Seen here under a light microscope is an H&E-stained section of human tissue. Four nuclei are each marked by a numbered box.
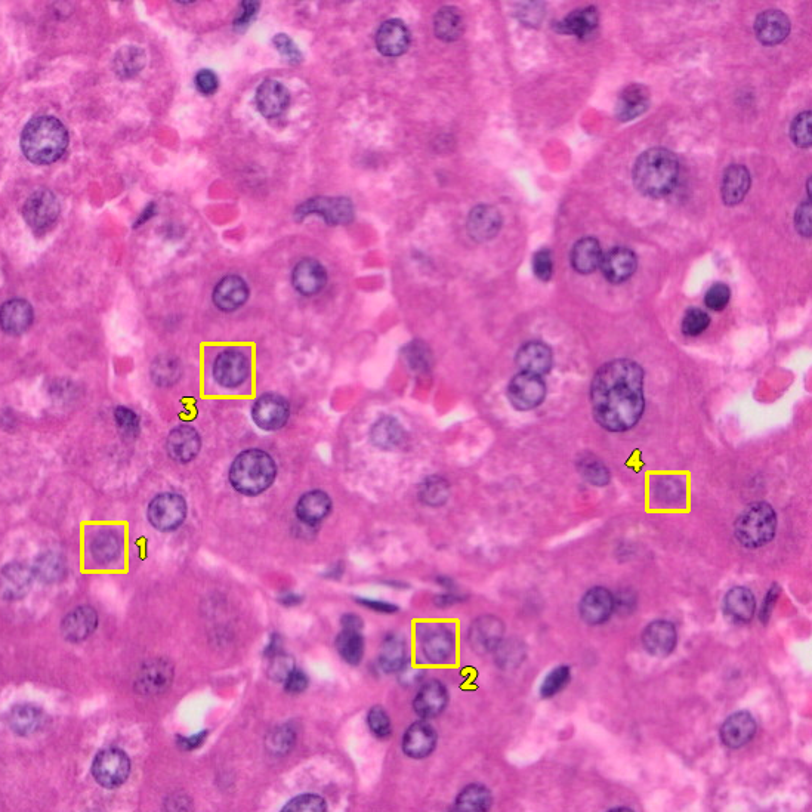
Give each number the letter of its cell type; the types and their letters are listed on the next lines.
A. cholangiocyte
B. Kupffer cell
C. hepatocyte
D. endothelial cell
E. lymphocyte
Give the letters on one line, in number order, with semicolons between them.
C; A; C; C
